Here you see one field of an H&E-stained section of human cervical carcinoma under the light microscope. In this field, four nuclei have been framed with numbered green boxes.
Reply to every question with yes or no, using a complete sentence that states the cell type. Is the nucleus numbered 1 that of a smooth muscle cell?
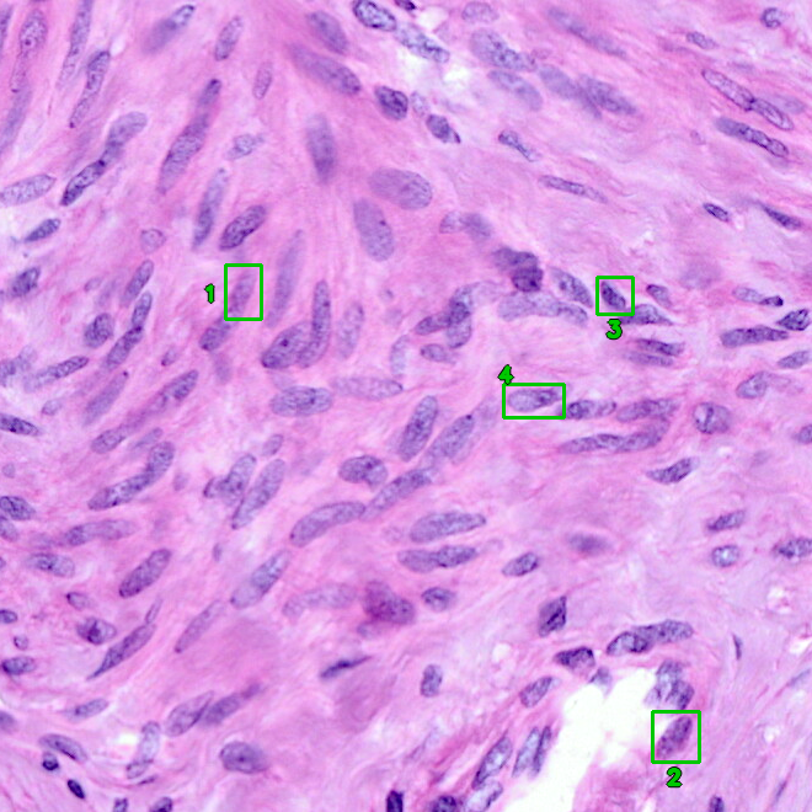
Yes, cell 1 is a smooth muscle cell in this tissue section.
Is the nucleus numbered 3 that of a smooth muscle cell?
No, number 3 is not a smooth muscle cell; it is a fibroblast.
